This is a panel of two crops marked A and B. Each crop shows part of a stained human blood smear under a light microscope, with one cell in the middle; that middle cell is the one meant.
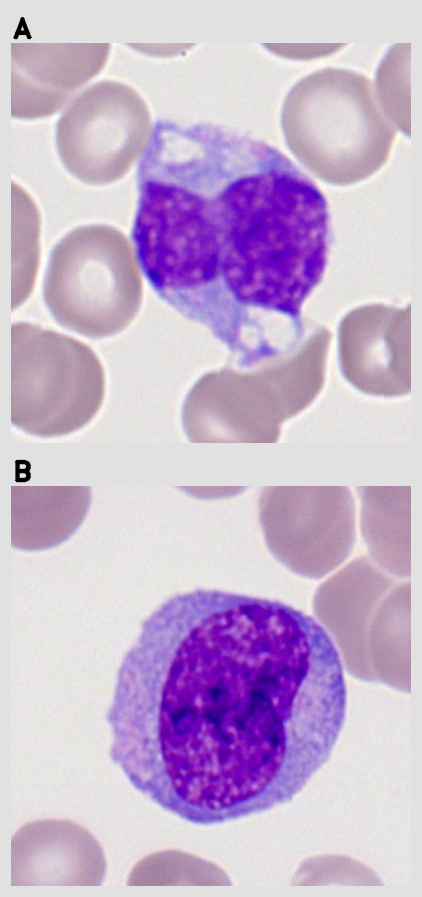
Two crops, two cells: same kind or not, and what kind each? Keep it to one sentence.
Yes, both crops show monocytes, and that holds for each one.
